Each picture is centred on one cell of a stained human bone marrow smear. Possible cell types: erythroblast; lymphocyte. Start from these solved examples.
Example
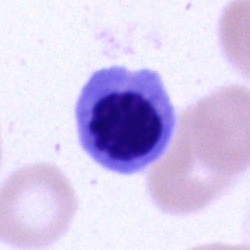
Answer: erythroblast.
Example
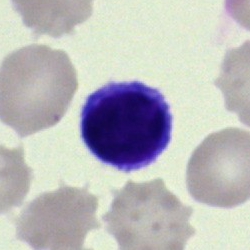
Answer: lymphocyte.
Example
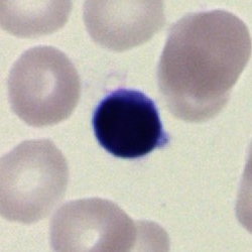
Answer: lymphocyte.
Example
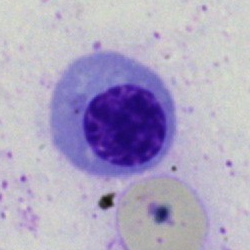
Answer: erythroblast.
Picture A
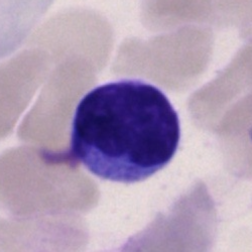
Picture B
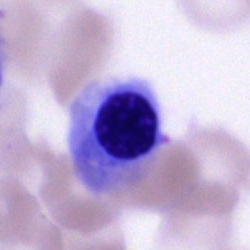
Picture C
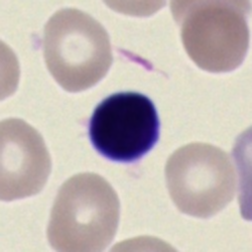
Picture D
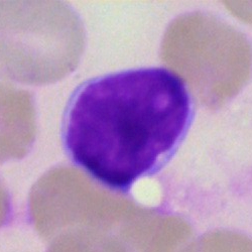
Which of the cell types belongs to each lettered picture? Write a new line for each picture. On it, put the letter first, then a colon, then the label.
A: lymphocyte.
B: erythroblast.
C: lymphocyte.
D: lymphocyte.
